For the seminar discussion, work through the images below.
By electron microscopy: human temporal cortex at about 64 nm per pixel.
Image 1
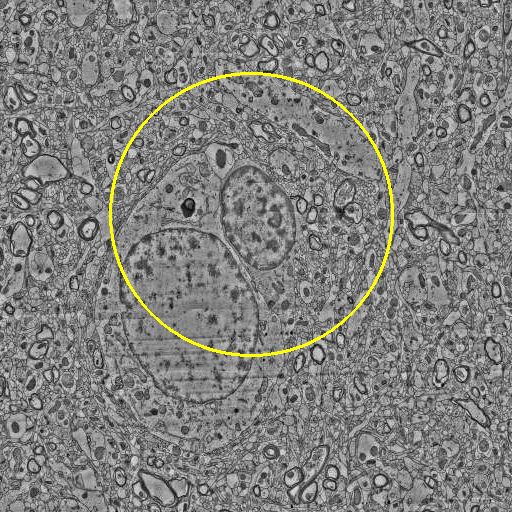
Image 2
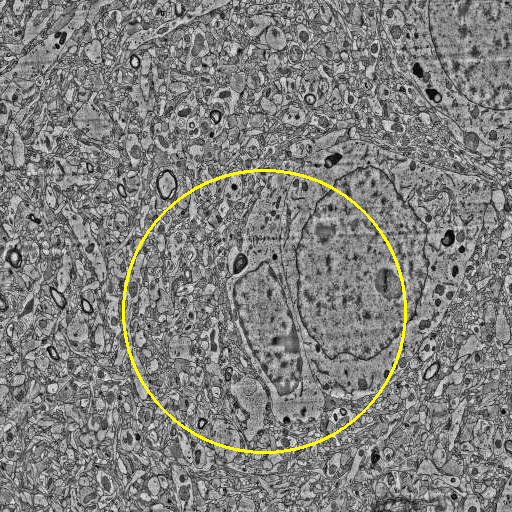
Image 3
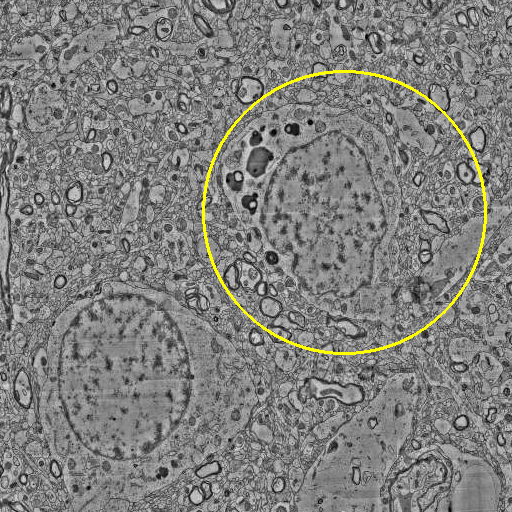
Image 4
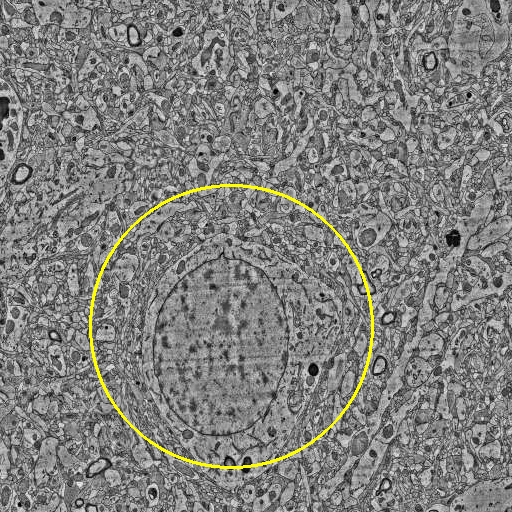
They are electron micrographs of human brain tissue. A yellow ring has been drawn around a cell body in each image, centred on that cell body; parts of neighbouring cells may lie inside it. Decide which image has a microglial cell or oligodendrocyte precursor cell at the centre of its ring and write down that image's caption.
Image 2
